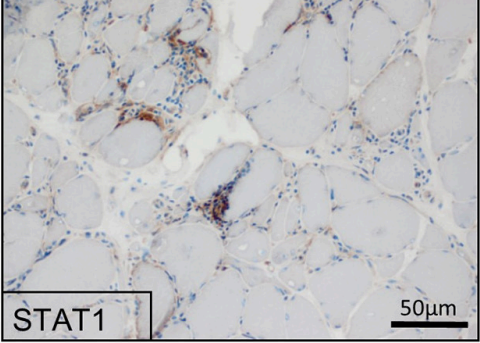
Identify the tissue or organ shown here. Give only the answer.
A: Skeletal muscle.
